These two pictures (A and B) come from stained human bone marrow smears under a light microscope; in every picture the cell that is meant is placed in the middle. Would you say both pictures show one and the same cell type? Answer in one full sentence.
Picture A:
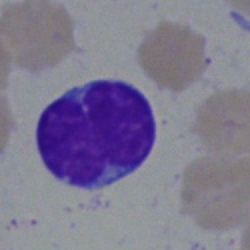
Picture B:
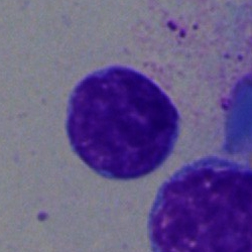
Yes; the cells in both pictures are lymphocytes.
